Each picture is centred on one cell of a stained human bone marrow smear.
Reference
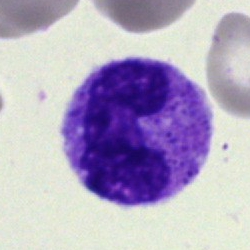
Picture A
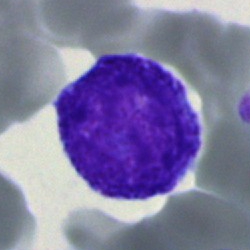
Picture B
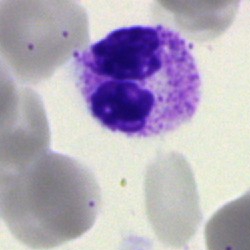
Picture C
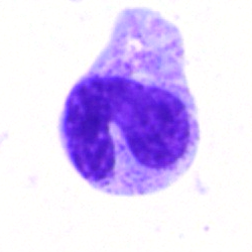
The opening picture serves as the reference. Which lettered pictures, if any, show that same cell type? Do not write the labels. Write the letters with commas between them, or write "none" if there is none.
C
